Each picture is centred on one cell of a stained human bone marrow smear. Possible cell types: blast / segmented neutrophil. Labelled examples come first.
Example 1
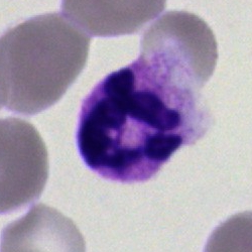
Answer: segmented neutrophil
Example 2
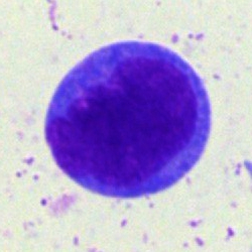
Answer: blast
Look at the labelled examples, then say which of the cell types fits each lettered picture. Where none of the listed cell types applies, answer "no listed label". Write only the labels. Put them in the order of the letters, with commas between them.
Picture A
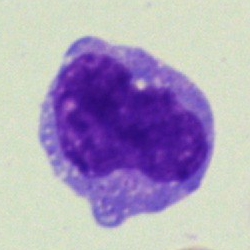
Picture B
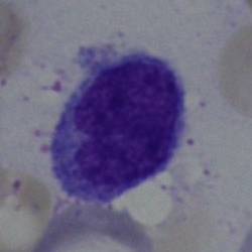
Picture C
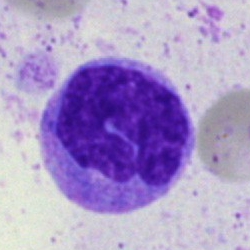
no listed label, no listed label, no listed label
